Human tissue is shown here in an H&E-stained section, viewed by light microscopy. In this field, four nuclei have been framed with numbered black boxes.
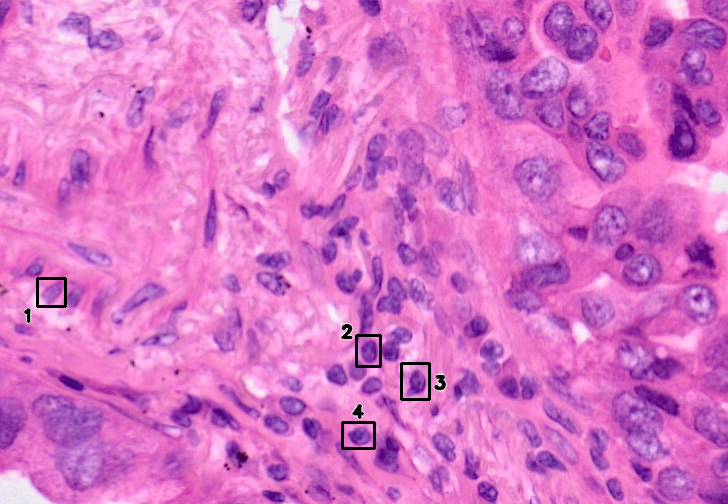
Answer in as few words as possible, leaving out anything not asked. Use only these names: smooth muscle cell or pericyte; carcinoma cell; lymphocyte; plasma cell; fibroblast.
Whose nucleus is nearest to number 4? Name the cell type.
plasma cell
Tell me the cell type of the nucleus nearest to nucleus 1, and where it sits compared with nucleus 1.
a smooth muscle cell or pericyte, to the right of nucleus 1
